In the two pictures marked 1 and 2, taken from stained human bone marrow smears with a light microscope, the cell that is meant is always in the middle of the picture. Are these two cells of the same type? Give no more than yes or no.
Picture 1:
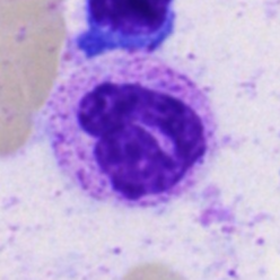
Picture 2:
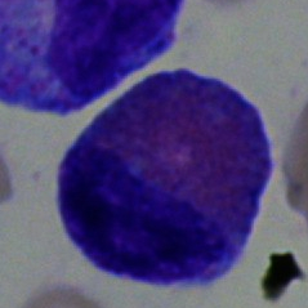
no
